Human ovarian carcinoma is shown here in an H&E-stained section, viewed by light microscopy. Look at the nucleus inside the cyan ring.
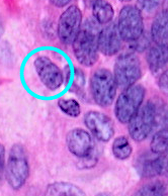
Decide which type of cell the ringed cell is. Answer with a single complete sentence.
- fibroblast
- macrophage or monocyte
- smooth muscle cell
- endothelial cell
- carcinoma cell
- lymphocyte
In the context of this tissue, the ringed cell is a macrophage or monocyte.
